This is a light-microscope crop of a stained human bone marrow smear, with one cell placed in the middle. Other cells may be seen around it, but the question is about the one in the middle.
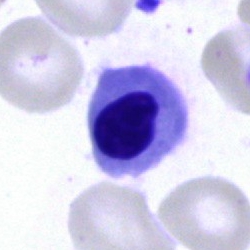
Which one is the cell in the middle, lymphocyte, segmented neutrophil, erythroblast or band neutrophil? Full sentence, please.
The crop's centre is taken up by an erythroblast.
